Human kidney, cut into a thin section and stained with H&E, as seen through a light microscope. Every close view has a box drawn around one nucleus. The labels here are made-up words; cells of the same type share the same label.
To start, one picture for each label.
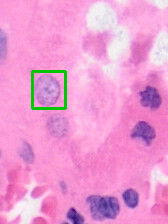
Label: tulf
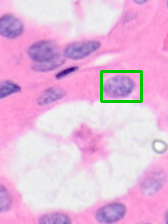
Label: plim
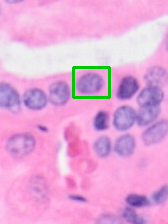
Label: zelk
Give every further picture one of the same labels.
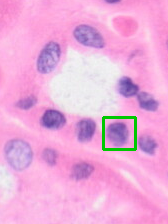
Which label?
plim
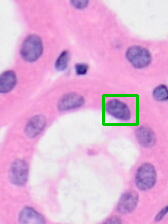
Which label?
plim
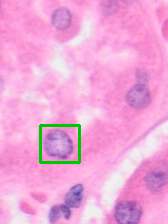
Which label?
tulf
